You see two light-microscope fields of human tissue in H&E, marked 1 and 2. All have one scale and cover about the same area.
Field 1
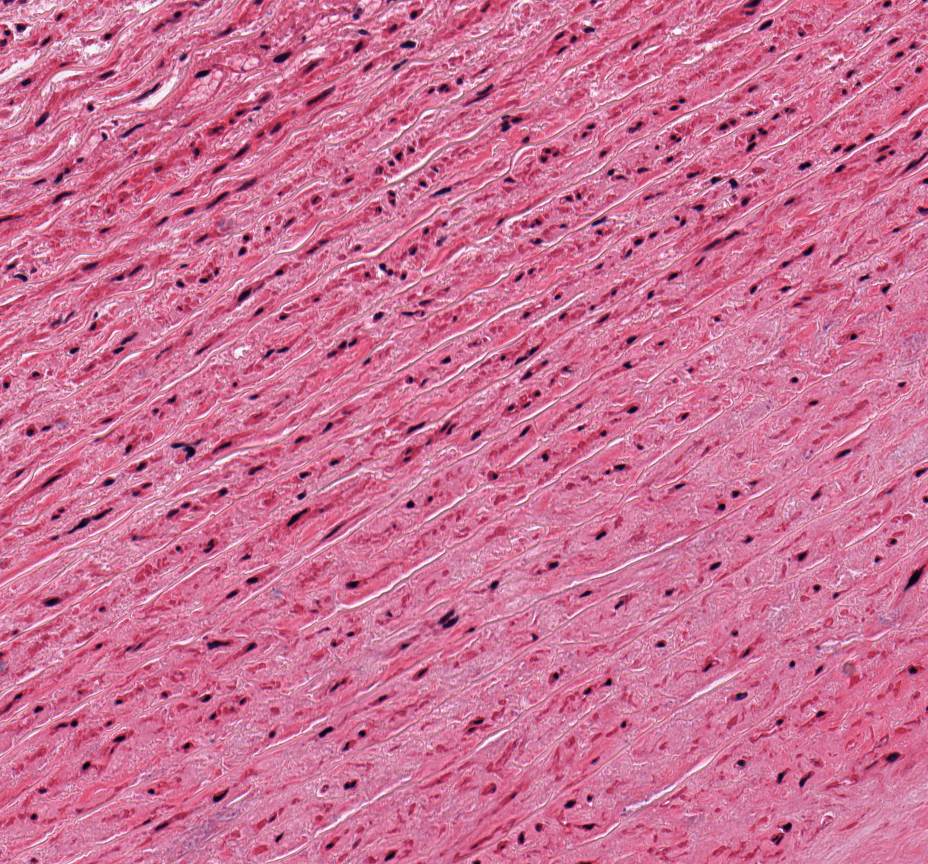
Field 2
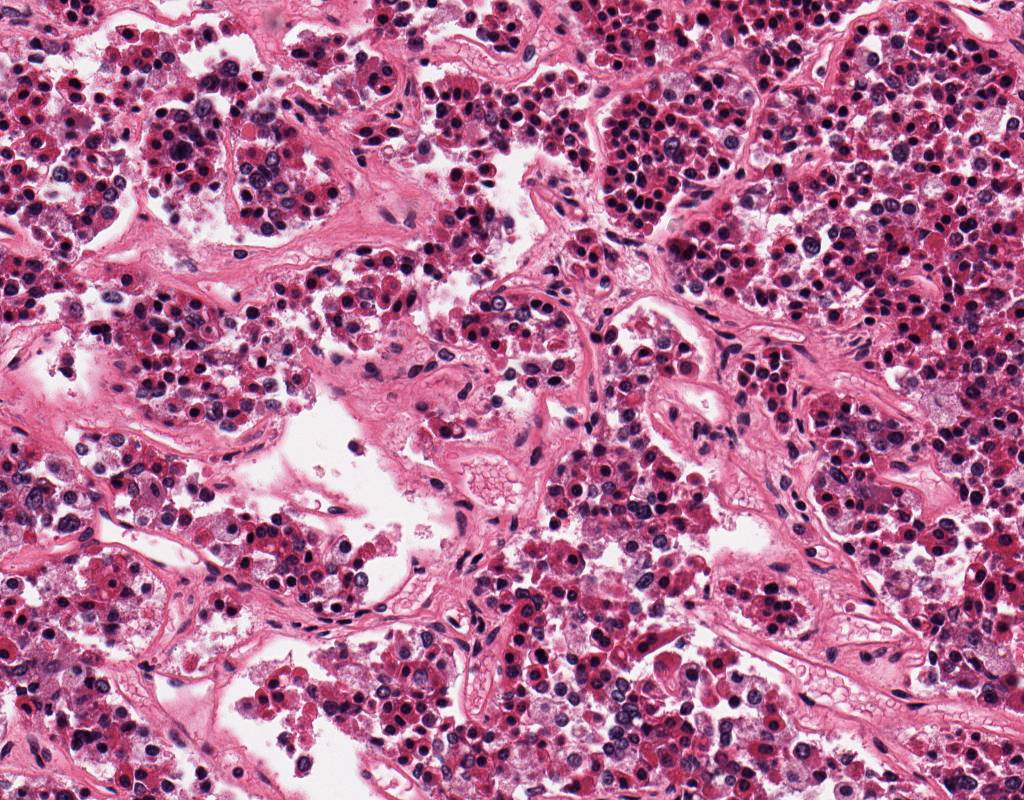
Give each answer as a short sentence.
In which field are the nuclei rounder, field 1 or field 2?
The nuclei are rounder in field 2.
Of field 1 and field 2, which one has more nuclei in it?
More nuclei lie in field 2 than in field 1.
